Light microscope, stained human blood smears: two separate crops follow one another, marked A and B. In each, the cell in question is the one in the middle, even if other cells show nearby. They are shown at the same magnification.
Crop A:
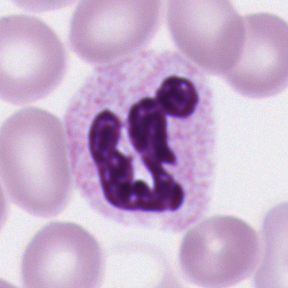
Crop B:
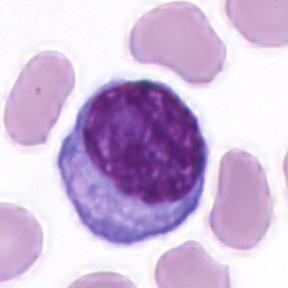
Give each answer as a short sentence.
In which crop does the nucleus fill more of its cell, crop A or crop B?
The nucleus fills more of the cell in crop B than in crop A.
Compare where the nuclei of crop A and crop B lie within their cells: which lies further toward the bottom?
Seen within its cell, the nucleus in crop A lies further toward the bottom.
